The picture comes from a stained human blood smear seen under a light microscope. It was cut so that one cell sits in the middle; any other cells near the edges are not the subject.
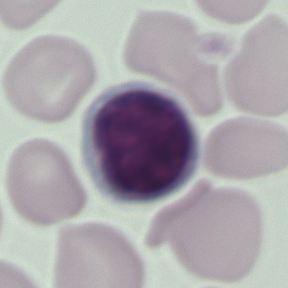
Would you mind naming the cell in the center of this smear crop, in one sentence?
To answer, the cell in the center of the crop is a lymphocyte.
